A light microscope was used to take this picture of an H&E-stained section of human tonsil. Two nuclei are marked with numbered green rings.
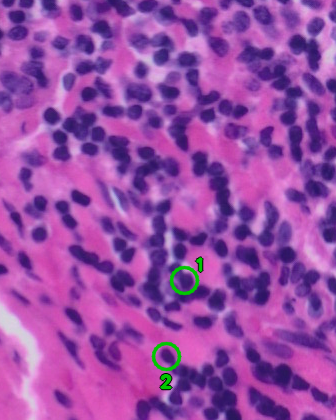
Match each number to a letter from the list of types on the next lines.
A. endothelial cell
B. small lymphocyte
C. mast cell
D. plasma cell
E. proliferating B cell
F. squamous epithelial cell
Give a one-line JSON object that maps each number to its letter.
{"1": "B", "2": "C"}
